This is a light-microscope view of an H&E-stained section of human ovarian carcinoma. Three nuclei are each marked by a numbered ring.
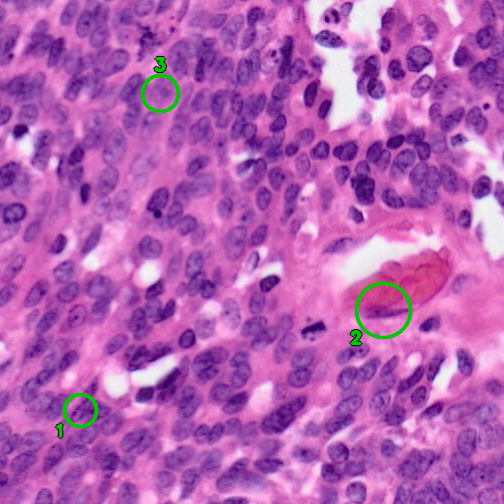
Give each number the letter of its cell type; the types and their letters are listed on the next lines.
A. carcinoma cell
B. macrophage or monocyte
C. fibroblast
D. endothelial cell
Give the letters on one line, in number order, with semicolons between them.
A; D; A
